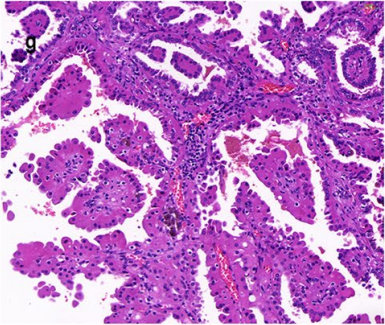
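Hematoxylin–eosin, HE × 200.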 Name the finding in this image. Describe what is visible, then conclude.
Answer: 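Small round dark nuclei cluster in the stroma between the epithelial structures.
Hence: lymphocyte infiltration.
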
